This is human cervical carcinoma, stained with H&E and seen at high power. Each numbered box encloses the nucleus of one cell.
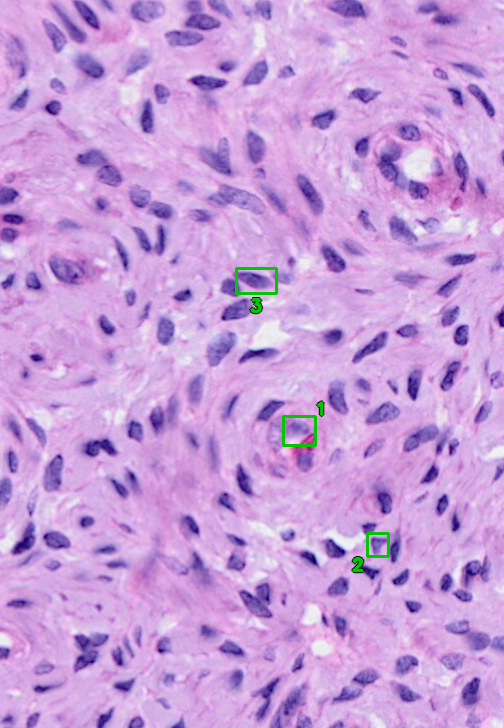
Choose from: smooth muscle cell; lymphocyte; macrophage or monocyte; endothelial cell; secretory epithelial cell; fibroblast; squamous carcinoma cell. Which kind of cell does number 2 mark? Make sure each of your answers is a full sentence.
Regarding cell 2, this one is a fibroblast.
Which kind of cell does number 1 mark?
In this section, the cell tagged 1 is an endothelial cell.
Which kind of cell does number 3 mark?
Number 3 is placed on a fibroblast here.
